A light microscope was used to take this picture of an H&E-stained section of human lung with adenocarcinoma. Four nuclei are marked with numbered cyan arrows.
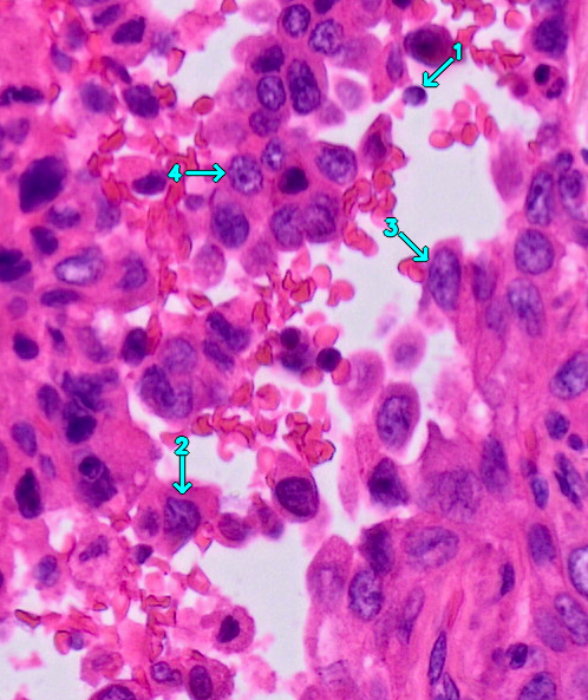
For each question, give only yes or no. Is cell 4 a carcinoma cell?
yes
